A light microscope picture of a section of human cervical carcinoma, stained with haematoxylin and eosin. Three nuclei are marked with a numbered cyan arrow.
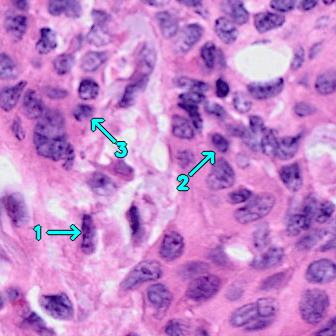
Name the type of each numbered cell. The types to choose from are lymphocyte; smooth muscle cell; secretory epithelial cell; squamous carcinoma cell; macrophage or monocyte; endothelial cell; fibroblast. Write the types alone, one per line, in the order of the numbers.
macrophage or monocyte
squamous carcinoma cell
squamous carcinoma cell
